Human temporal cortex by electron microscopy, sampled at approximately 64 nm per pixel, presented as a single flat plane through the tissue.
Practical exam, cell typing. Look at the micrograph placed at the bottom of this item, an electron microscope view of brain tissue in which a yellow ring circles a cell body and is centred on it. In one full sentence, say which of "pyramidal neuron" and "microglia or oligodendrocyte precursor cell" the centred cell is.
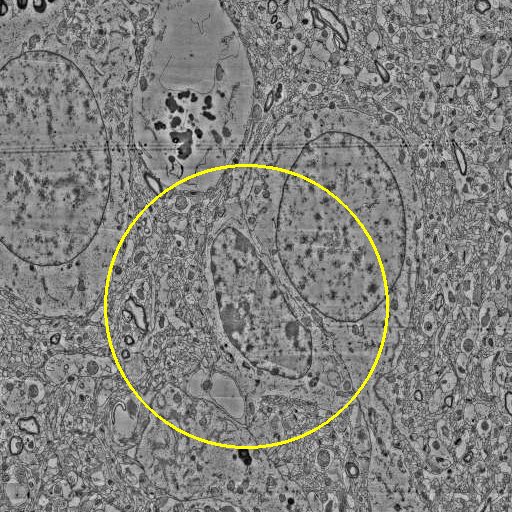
Given the options, a microglial cell or oligodendrocyte precursor cell fits the cell whose body the yellow ring is centred on.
